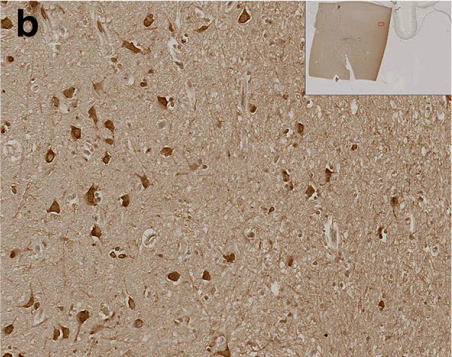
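Brain tissue in which numerous cell bodies are stained dark brown against a diffusely brown, finely fibrillar background. Many of the stained cells are triangular or polygonal with short tapering processes, scattered without a clear layered order. Small pale round spaces around some cells and a few unstained vessel profiles are also seen.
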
